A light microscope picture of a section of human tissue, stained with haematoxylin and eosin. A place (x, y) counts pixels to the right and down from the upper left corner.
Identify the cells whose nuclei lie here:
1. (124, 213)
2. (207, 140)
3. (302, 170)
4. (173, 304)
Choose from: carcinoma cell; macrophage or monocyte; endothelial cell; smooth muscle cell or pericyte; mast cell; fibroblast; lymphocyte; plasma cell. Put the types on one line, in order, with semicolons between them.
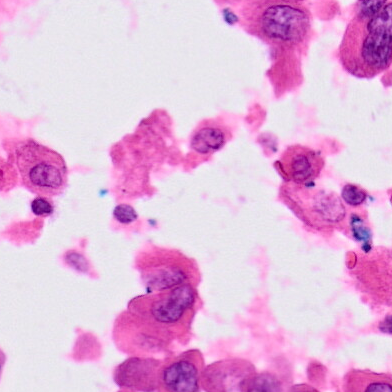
lymphocyte; macrophage or monocyte; macrophage or monocyte; carcinoma cell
